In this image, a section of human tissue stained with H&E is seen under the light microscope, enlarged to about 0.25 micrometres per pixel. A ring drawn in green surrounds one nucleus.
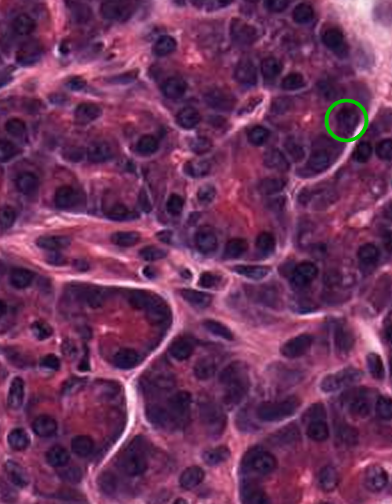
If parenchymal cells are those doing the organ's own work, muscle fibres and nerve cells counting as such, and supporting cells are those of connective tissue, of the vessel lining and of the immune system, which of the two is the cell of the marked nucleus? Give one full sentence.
On this slide the marked nucleus belongs to a parenchymal cell, namely a pancreatic acinar cell.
